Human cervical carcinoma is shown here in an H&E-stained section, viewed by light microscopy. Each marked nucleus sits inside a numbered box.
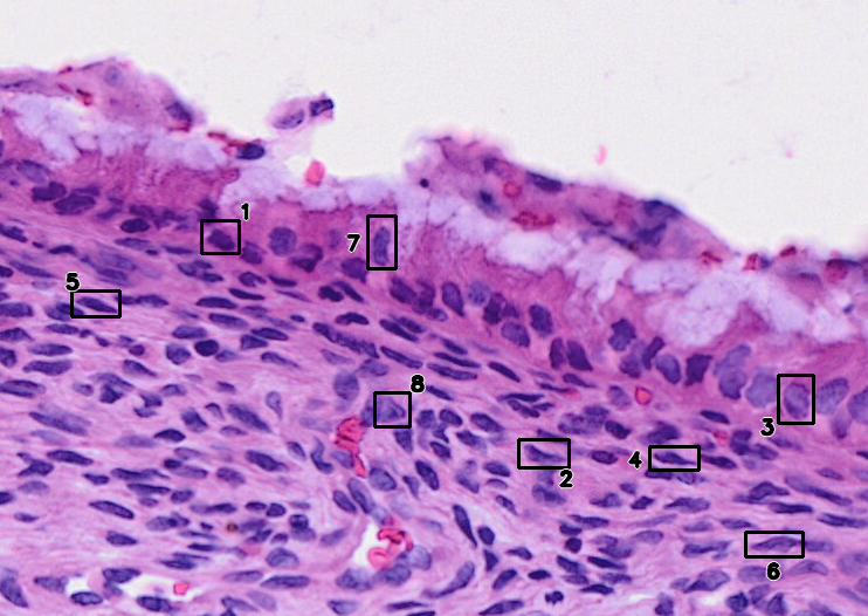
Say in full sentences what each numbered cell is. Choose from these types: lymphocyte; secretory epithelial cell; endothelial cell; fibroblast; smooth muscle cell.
Cell 1 is a secretory epithelial cell, cell 2 is a fibroblast, cell 3 is a secretory epithelial cell, cell 4 is a fibroblast, cell 5 is a fibroblast, cell 6 is a fibroblast, cell 7 is a secretory epithelial cell and cell 8 is an endothelial cell.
